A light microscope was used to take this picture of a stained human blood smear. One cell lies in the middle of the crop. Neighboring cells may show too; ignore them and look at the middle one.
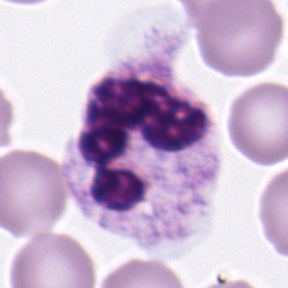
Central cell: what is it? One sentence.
This crop has a segmented neutrophil at its centre.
